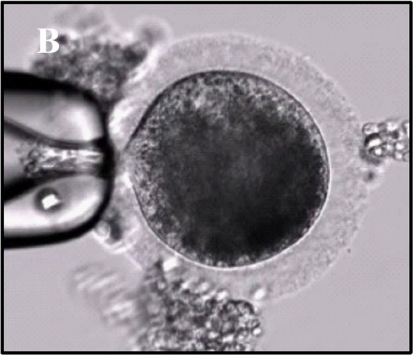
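This is a single oocyte held from the left by a glass pipette, seen unstained with contrast optics. The cell is round, with finely granular, darker cytoplasm. It is surrounded closely by a thick, clear, even coat with only a narrow space between cell and coat. Small cells gather in clusters on the outside of the coat, above, below and to the right. The cell surface is smooth and regular all round.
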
